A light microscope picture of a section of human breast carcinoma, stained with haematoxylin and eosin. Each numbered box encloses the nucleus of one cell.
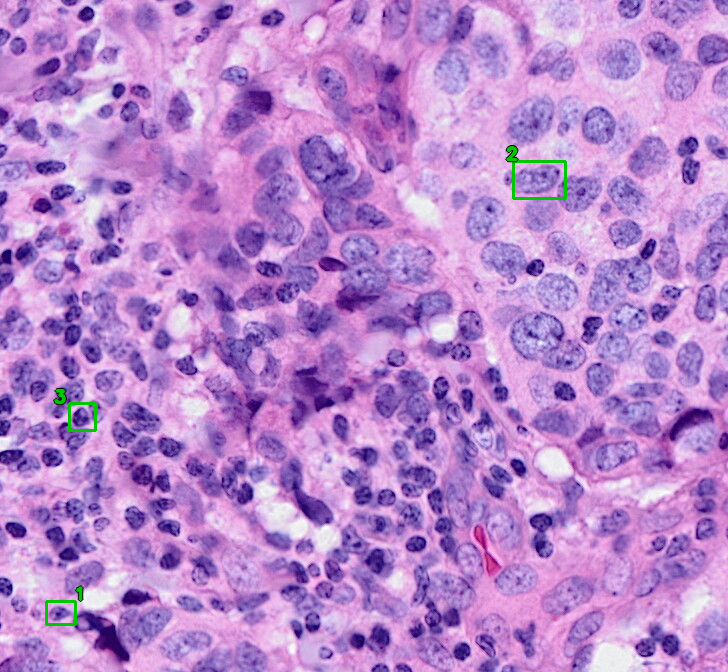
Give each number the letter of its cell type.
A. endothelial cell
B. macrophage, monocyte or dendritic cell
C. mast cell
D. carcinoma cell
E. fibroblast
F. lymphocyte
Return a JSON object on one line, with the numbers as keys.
{"1": "F", "2": "D", "3": "F"}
